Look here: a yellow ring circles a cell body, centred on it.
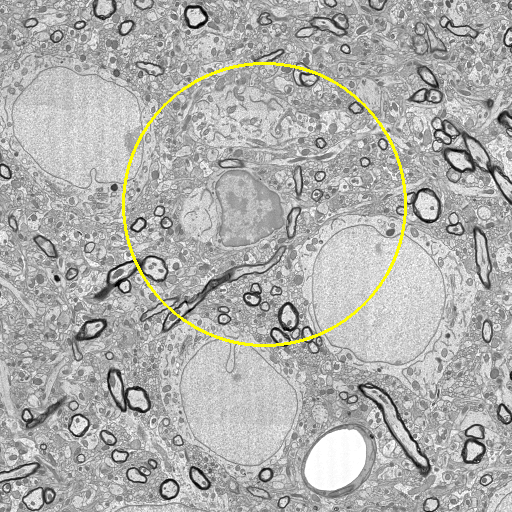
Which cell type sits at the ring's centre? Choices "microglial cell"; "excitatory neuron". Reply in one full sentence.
The cell at the centre of the yellow ring in the picture is a microglial cell.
